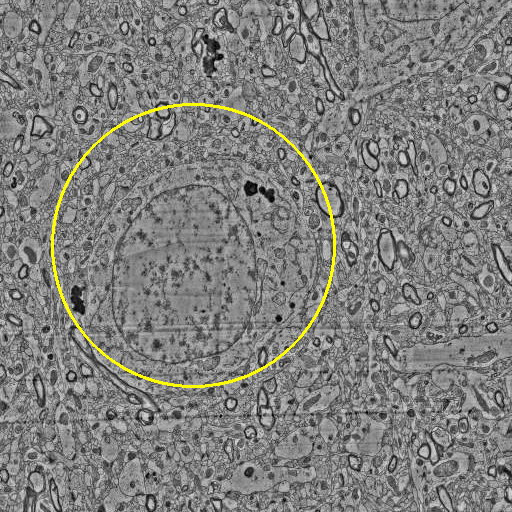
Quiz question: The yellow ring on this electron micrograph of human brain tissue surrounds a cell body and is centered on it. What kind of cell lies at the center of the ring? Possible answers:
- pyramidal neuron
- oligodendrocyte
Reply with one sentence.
The ring's center lies on a pyramidal neuron.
